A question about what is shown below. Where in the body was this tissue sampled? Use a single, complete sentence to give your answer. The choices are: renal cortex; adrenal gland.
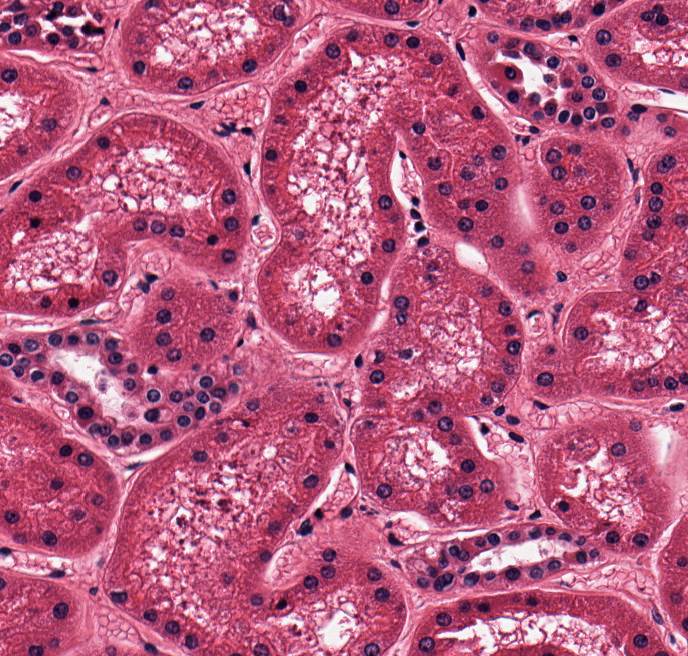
This tissue was harvested from the renal cortex.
